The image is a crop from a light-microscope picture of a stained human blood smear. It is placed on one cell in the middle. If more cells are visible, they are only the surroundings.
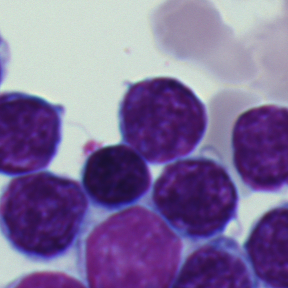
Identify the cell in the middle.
myeloblast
